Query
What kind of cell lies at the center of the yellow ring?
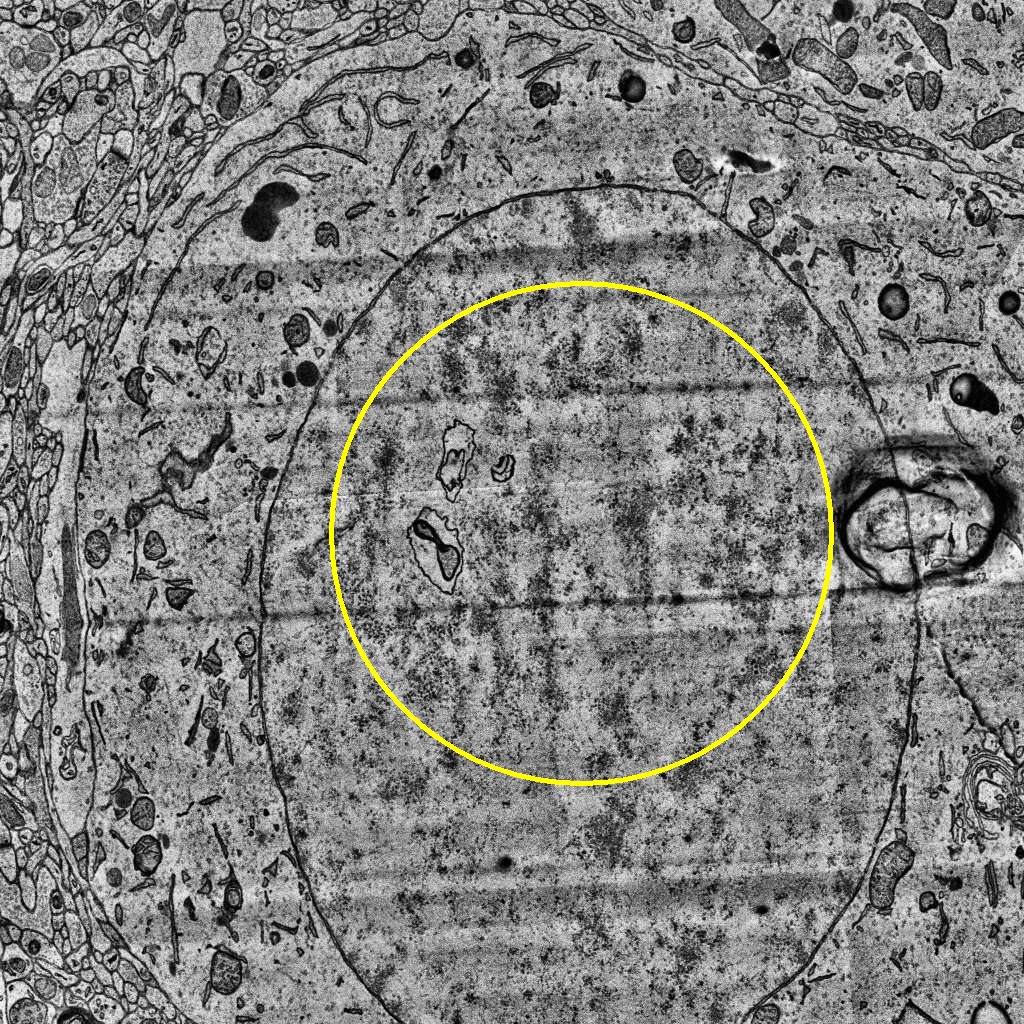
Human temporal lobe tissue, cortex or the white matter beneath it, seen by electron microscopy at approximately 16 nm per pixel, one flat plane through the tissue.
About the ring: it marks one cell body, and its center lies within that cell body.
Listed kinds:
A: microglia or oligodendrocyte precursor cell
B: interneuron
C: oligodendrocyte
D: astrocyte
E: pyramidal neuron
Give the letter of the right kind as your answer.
E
